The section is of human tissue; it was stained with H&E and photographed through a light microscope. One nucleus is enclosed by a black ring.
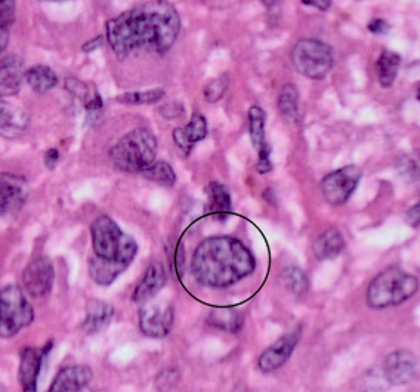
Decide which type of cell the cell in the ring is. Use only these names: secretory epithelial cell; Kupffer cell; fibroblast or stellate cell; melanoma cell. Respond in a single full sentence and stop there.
Considered by cell type, the cell in the ring is a melanoma cell.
